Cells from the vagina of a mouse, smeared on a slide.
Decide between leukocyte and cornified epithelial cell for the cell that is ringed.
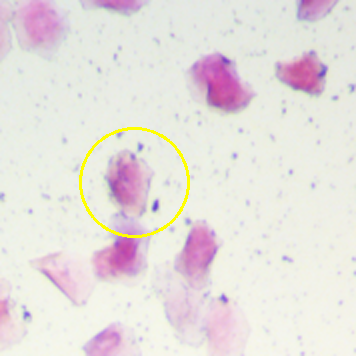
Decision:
I take the ringed cell for a cornified epithelial cell.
